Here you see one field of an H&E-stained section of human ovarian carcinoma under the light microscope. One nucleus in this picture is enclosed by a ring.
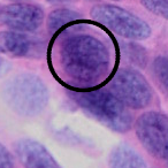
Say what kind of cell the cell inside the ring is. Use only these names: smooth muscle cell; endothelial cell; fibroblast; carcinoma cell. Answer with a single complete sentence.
The cell inside the ring is a carcinoma cell.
